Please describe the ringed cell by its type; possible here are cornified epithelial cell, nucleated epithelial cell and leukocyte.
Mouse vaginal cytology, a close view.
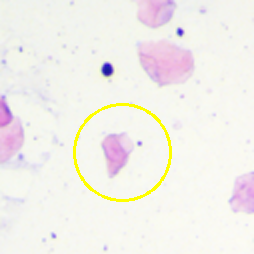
The yellow ring marks a cornified epithelial cell.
